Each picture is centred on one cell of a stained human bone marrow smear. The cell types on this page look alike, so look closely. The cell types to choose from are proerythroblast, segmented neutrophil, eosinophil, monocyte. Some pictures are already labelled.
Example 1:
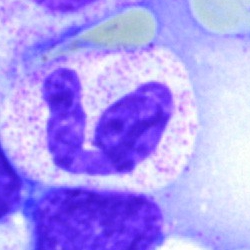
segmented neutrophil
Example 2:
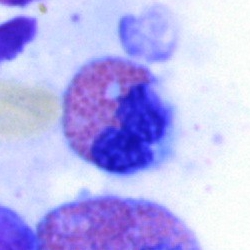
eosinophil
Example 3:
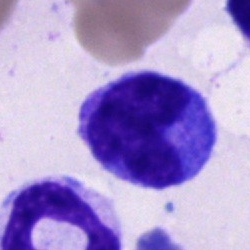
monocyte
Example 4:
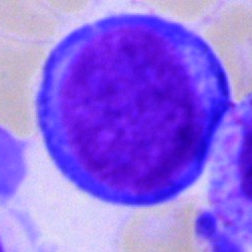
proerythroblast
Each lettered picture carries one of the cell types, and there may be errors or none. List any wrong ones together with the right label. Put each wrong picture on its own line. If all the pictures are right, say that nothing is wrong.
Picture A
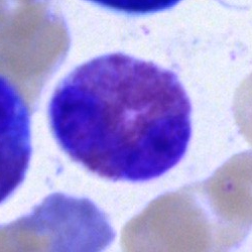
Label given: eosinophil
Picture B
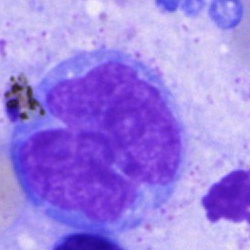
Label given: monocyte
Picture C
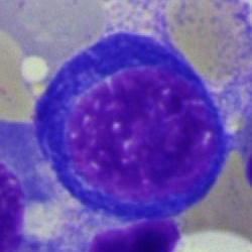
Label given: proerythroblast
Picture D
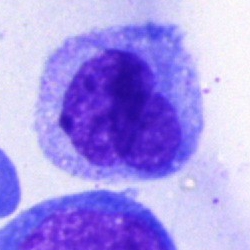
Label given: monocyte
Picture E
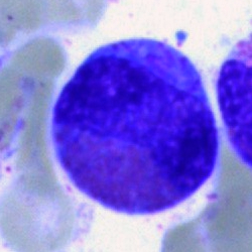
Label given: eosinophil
Every label is right.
